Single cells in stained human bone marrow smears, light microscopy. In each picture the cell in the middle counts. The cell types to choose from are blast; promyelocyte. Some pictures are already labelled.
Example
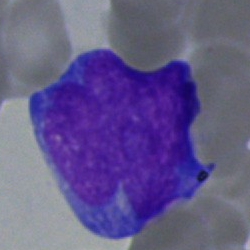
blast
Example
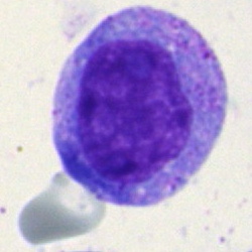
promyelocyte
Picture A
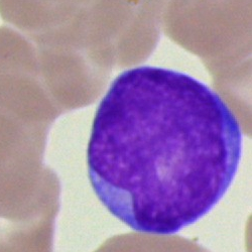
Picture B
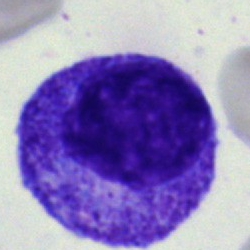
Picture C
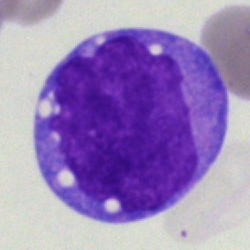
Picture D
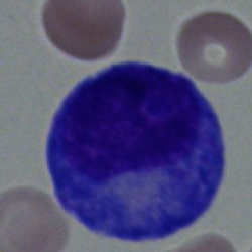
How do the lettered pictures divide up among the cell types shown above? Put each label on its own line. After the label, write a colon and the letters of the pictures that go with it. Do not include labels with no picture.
blast: A, C
promyelocyte: B, D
